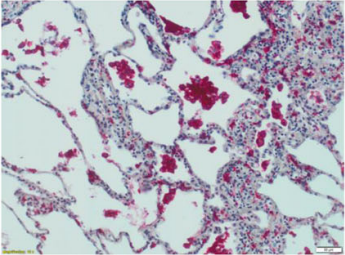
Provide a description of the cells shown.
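The alveolar walls are thickened and crowded with many blue nuclei, unlike the thin septa of normal lung. The air spaces contain many large red-stained cells, several of them gathered into dense clumps. Red cells are also found within the thickened walls themselves. The overall picture is of lung crowded with red-stained cells, both in the air spaces and within the septa.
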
